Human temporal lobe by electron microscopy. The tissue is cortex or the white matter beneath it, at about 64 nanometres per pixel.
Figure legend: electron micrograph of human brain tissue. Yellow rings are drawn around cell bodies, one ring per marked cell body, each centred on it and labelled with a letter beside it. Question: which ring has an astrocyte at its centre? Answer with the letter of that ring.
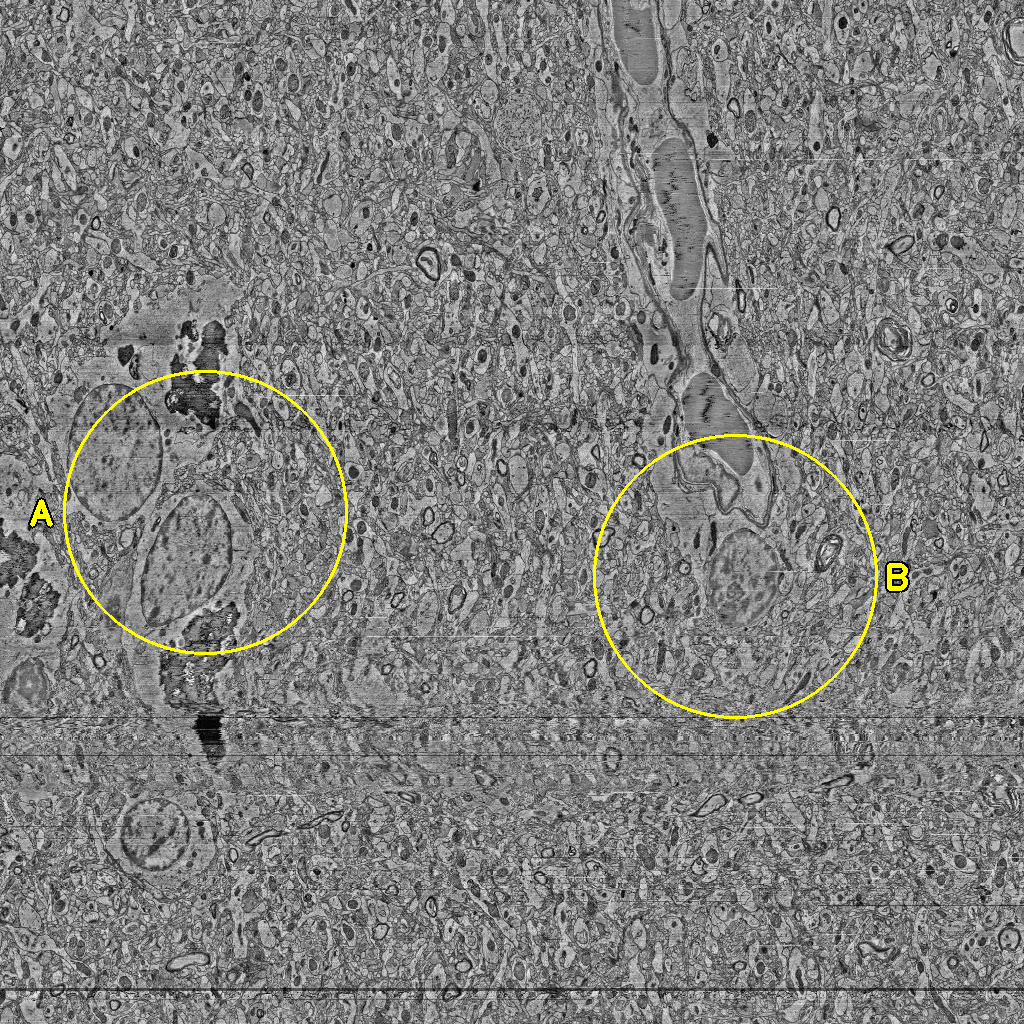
A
